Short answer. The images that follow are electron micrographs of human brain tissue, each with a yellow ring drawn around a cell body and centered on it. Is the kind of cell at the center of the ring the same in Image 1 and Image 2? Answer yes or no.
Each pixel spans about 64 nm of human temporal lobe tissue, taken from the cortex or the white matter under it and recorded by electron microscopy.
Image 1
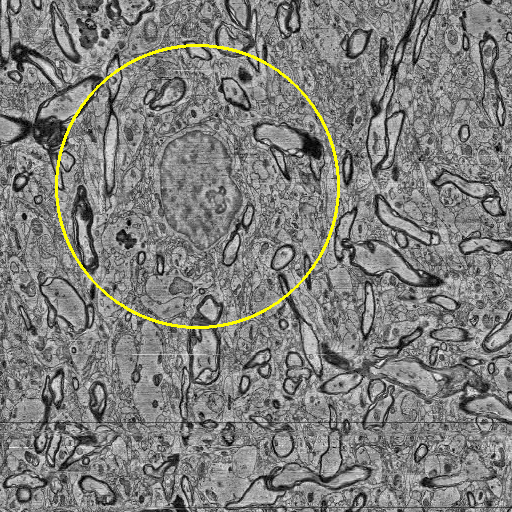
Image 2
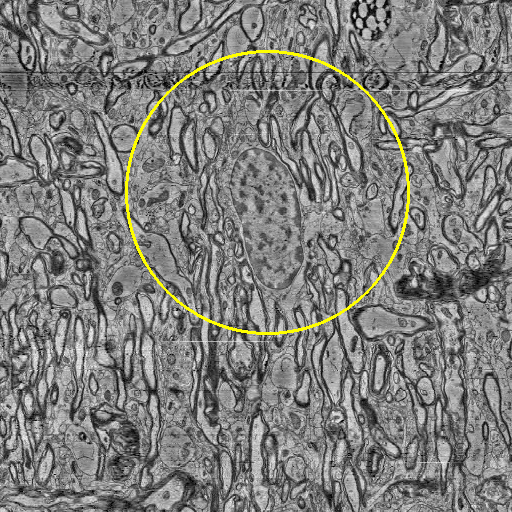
no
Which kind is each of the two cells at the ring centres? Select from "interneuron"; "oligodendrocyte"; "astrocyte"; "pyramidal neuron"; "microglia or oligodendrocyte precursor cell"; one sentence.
The cell at the centre of the ring is an oligodendrocyte in the first picture and a microglial cell or oligodendrocyte precursor cell in the second.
